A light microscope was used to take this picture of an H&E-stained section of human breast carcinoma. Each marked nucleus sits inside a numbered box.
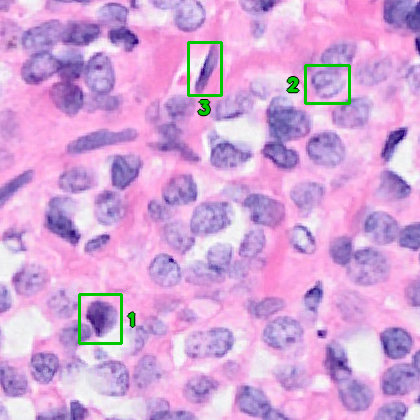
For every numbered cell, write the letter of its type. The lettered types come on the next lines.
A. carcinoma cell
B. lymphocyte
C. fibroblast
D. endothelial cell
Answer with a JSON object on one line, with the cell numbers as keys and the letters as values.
{"1": "A", "2": "A", "3": "D"}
